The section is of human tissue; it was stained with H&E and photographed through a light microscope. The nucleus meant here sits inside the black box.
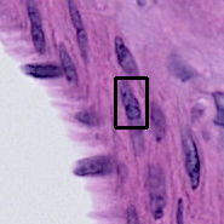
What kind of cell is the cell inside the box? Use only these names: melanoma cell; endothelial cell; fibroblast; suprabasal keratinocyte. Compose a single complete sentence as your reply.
Right, so the cell inside the box is an endothelial cell, to answer that.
